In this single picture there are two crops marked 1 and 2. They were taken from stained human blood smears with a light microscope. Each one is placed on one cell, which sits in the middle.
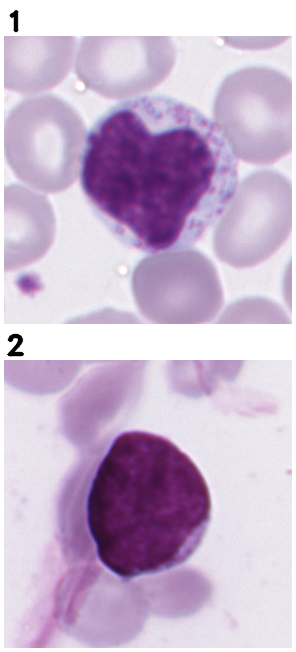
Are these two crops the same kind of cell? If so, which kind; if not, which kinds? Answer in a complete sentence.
No, crop 2 holds a blast, while crop 1 holds a large granular lymphocyte.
